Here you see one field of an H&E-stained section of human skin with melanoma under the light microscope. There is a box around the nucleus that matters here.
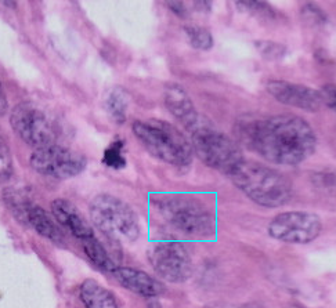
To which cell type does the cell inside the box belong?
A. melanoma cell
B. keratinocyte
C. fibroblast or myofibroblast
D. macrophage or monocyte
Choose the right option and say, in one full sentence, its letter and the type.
Option A, identifying the cell inside the box as a melanoma cell, is correct.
